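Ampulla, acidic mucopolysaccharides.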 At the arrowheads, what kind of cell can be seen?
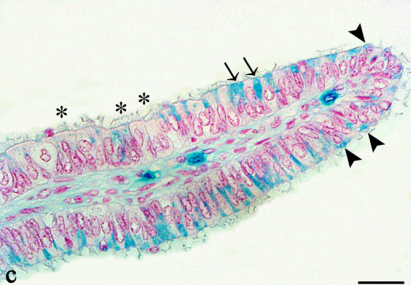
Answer: Secretory cells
